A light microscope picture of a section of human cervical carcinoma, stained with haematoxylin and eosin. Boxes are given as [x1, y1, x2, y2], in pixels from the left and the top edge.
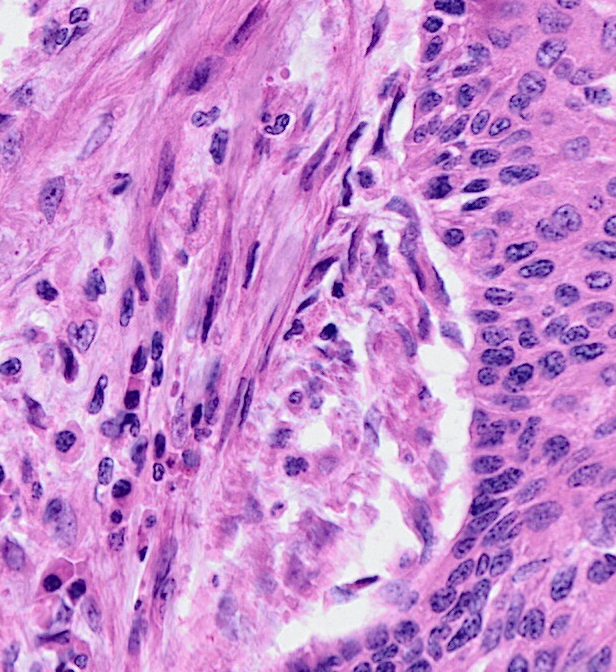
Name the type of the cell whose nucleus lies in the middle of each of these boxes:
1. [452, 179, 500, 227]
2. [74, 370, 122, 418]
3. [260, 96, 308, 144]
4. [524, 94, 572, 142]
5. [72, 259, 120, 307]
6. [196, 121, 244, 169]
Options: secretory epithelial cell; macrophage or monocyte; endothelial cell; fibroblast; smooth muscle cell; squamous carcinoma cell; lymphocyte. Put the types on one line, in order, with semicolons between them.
squamous carcinoma cell; lymphocyte; lymphocyte; squamous carcinoma cell; lymphocyte; lymphocyte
